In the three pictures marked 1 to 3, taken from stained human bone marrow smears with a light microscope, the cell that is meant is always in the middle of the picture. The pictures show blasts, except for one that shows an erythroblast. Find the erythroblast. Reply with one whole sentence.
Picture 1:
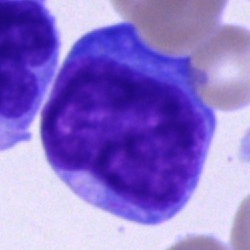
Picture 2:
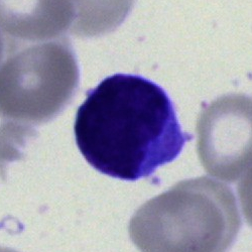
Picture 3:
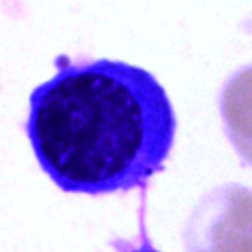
Picture 3 is the one that shows the erythroblast.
